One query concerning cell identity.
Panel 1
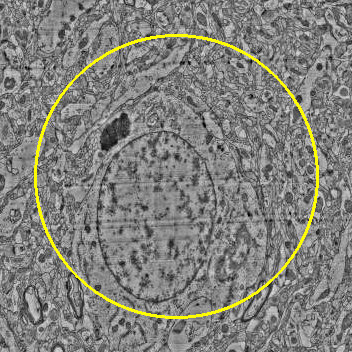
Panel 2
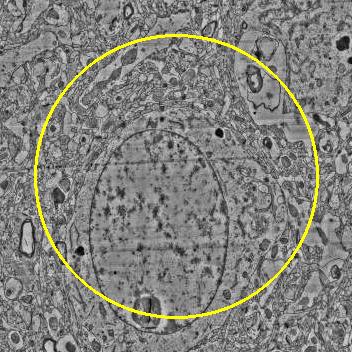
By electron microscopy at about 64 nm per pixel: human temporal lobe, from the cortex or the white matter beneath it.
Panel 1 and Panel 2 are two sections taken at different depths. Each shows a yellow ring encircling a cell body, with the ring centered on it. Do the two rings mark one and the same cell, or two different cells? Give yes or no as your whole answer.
yes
